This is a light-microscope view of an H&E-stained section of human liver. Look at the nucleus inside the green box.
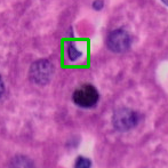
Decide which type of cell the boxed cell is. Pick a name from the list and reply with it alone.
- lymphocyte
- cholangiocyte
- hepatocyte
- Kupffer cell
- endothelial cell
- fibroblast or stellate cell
endothelial cell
